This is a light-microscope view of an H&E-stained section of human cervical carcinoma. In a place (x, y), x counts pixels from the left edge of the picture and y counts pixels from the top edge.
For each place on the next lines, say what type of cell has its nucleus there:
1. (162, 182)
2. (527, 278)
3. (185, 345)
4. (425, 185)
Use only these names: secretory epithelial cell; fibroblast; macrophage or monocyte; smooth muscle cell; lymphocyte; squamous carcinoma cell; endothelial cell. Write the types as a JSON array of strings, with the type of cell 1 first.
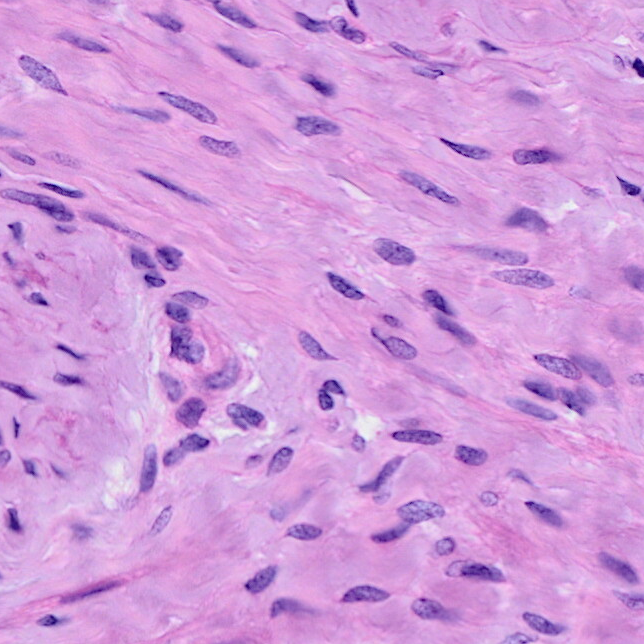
["fibroblast", "fibroblast", "endothelial cell", "fibroblast"]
